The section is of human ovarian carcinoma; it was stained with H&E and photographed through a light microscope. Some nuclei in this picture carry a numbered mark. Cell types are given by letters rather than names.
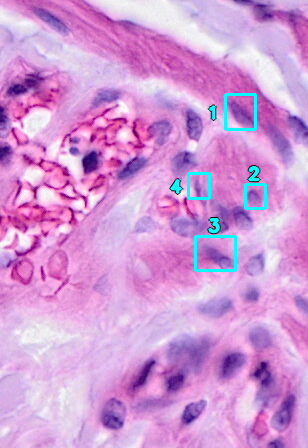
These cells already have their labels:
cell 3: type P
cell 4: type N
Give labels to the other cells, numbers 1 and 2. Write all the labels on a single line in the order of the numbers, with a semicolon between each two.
type P; type P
